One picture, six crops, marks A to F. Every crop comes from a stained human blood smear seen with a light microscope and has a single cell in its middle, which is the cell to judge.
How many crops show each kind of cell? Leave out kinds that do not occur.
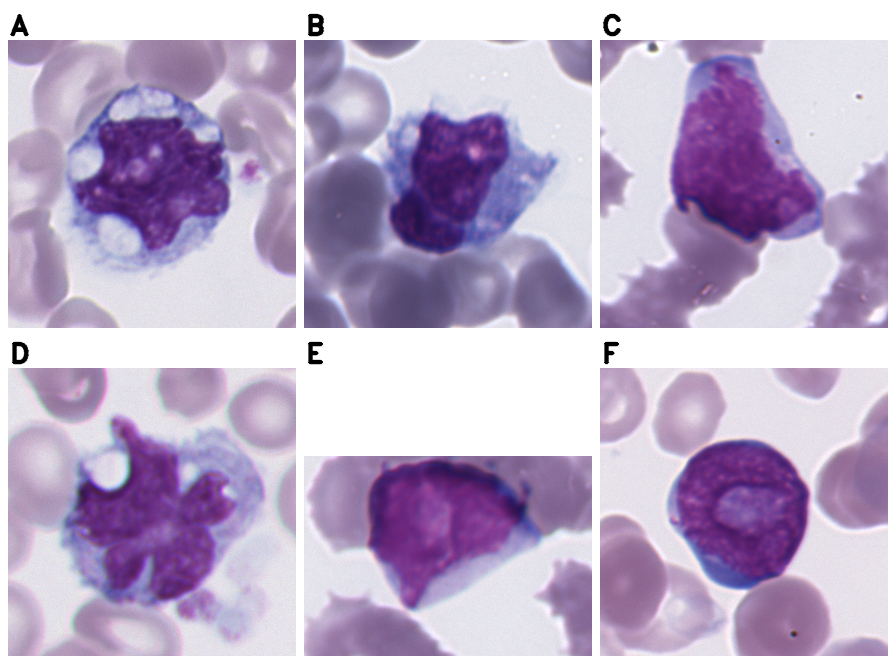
monocyte: 3
myeloblast: 3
